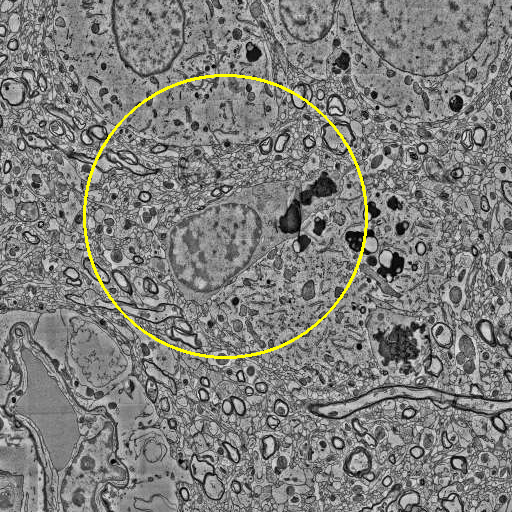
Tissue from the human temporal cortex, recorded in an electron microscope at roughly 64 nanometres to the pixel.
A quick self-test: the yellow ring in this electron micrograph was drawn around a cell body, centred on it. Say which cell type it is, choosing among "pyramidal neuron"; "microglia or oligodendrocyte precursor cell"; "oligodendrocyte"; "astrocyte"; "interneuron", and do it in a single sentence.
The yellow-ringed cell is an oligodendrocyte.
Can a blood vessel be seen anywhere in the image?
Yes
